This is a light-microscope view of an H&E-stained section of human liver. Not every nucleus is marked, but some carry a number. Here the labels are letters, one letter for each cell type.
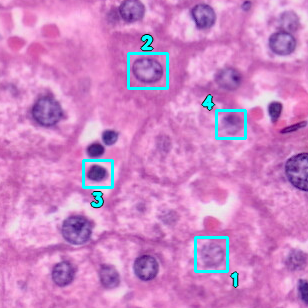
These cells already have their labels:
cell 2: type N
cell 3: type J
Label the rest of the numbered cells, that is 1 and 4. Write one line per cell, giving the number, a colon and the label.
1: type N
4: type N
